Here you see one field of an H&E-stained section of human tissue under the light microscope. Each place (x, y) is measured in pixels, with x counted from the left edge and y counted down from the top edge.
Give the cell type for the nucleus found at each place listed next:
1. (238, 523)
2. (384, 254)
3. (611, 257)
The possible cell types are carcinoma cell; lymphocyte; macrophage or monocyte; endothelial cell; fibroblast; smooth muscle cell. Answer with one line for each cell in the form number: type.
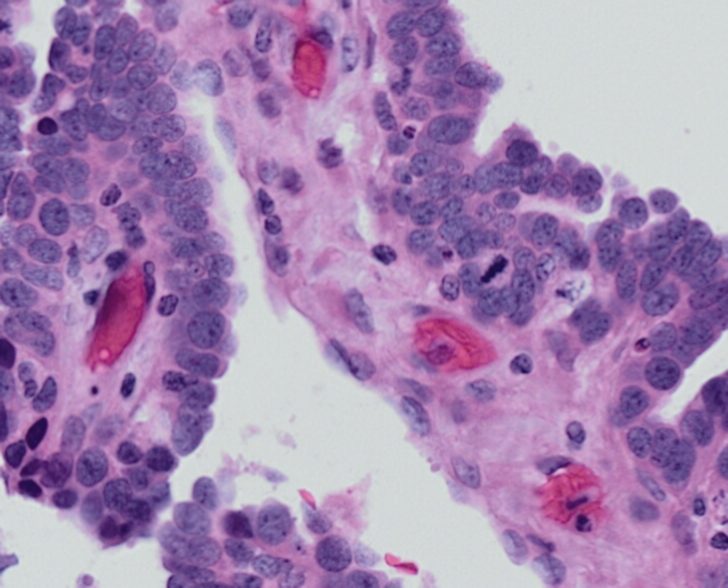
1: carcinoma cell
2: lymphocyte
3: carcinoma cell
